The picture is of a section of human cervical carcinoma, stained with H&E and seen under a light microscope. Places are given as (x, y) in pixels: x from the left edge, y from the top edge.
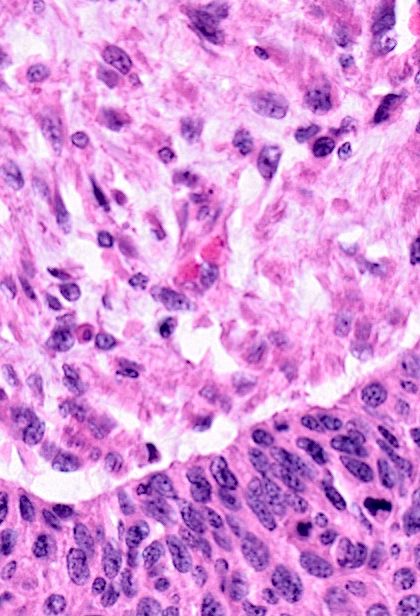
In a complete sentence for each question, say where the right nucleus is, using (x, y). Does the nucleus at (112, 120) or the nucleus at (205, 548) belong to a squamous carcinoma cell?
The nucleus at (205, 548) is the member of the pair belonging to a squamous carcinoma cell.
